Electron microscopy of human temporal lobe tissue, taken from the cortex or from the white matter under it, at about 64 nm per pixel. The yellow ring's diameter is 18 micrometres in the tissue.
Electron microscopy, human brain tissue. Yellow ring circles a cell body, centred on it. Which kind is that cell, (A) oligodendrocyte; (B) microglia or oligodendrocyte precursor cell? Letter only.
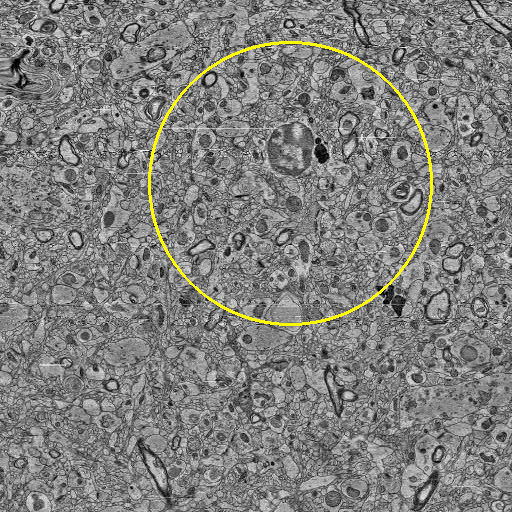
B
